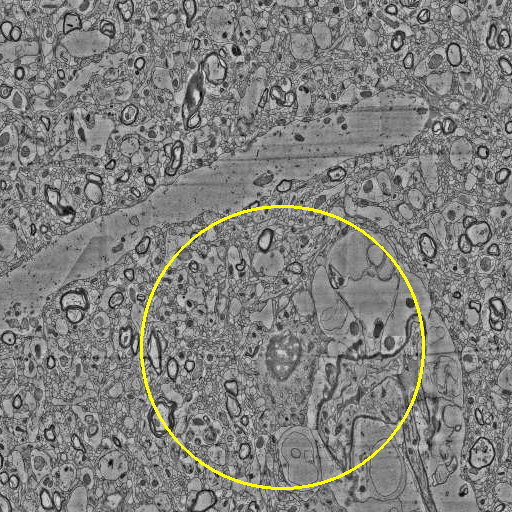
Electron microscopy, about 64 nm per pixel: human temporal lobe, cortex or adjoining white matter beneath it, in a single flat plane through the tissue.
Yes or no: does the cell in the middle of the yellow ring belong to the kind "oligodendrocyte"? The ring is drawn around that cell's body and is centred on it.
yes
